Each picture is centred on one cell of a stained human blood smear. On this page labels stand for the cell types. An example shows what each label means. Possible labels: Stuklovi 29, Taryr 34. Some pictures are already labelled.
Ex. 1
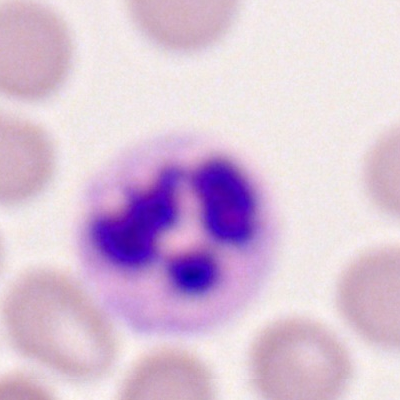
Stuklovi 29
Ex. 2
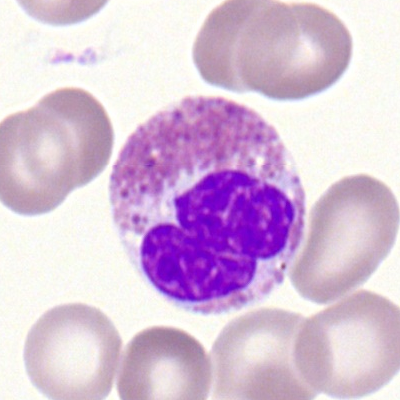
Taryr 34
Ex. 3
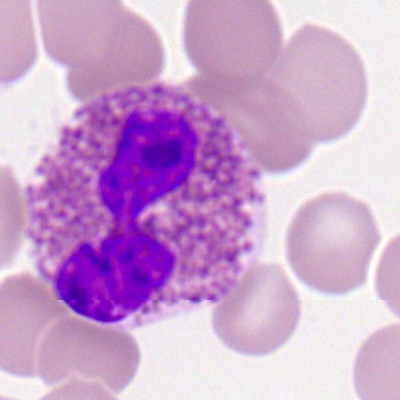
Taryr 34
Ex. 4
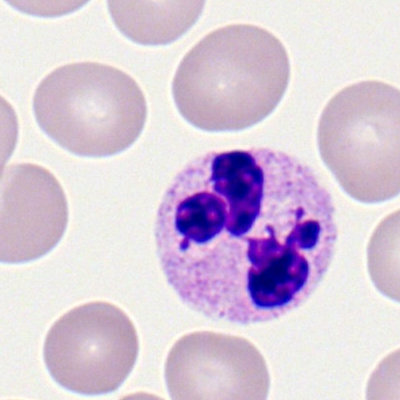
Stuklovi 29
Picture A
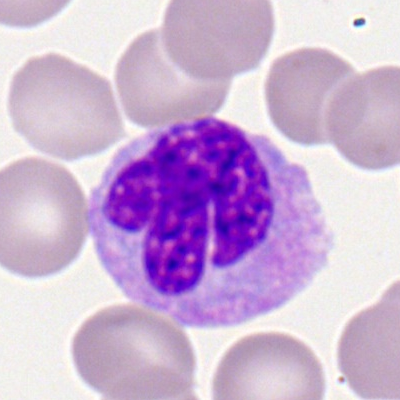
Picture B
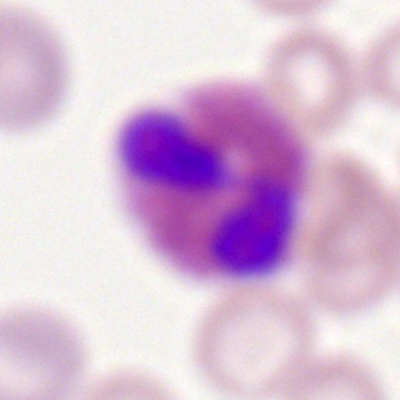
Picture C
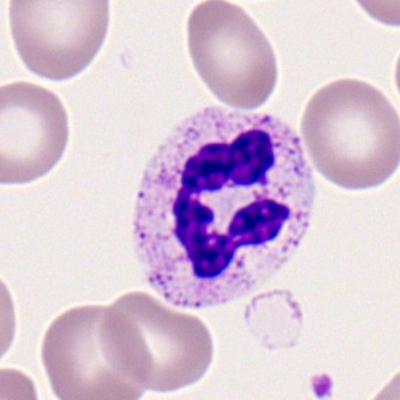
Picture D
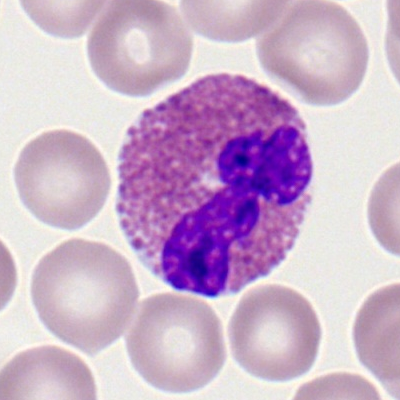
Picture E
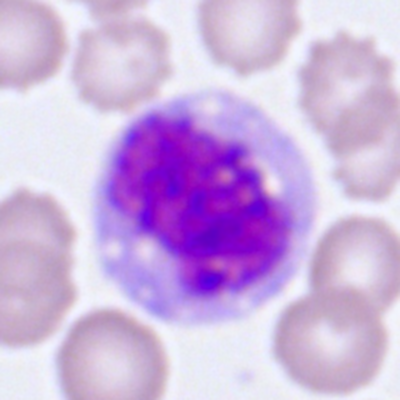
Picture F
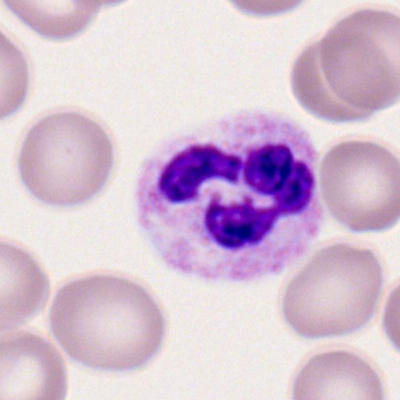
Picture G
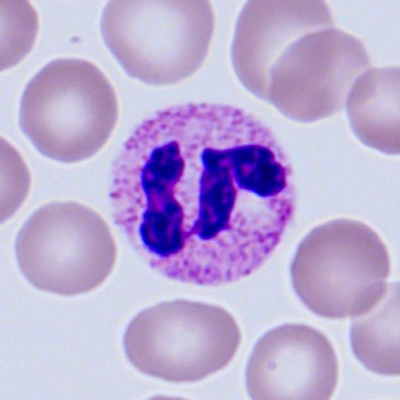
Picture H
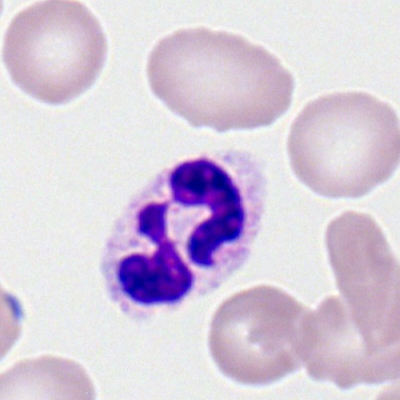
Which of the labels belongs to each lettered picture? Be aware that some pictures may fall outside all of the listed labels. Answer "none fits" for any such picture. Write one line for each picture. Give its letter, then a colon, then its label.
A: none fits
B: Taryr 34
C: Stuklovi 29
D: Taryr 34
E: none fits
F: Stuklovi 29
G: Stuklovi 29
H: Stuklovi 29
